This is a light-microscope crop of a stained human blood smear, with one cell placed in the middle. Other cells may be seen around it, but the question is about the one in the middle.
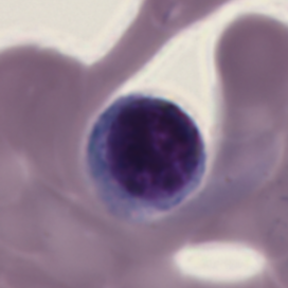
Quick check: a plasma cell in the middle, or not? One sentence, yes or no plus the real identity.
Yes, that is a plasma cell in the middle of the crop.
